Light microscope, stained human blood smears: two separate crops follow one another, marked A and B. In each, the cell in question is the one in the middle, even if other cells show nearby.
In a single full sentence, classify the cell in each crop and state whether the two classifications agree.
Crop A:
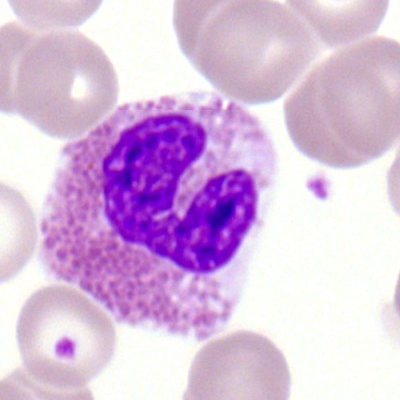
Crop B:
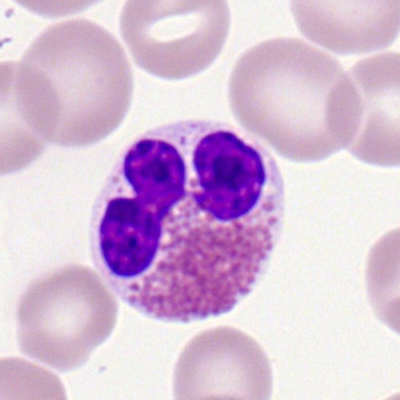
Yes, the cells at the centre of the two crops are both eosinophils.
